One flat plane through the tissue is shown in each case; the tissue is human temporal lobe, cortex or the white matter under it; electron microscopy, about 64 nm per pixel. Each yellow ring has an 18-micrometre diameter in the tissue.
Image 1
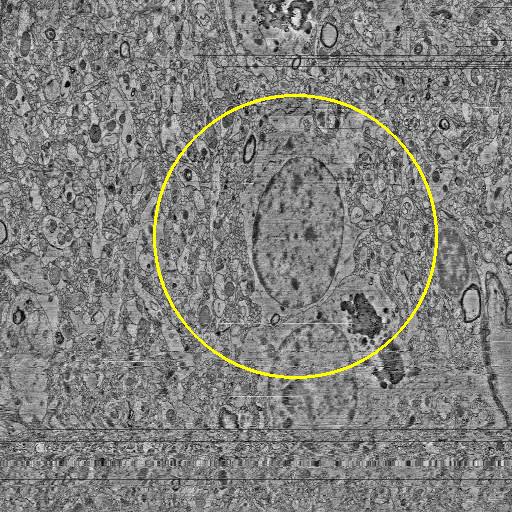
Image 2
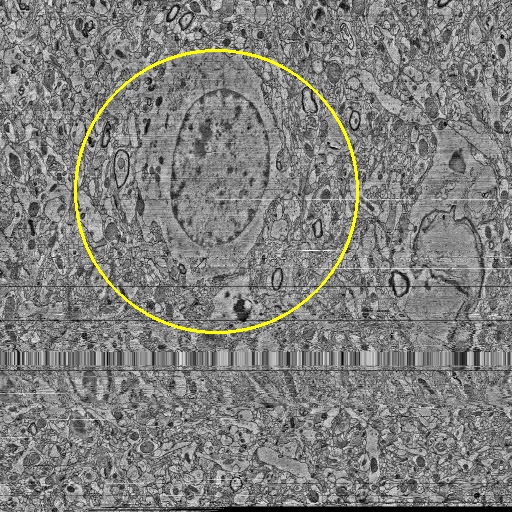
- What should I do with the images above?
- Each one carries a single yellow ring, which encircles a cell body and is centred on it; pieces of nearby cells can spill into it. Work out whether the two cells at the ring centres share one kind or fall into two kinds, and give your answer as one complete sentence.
The ring-centre cells of Image 1 and Image 2 share one kind.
